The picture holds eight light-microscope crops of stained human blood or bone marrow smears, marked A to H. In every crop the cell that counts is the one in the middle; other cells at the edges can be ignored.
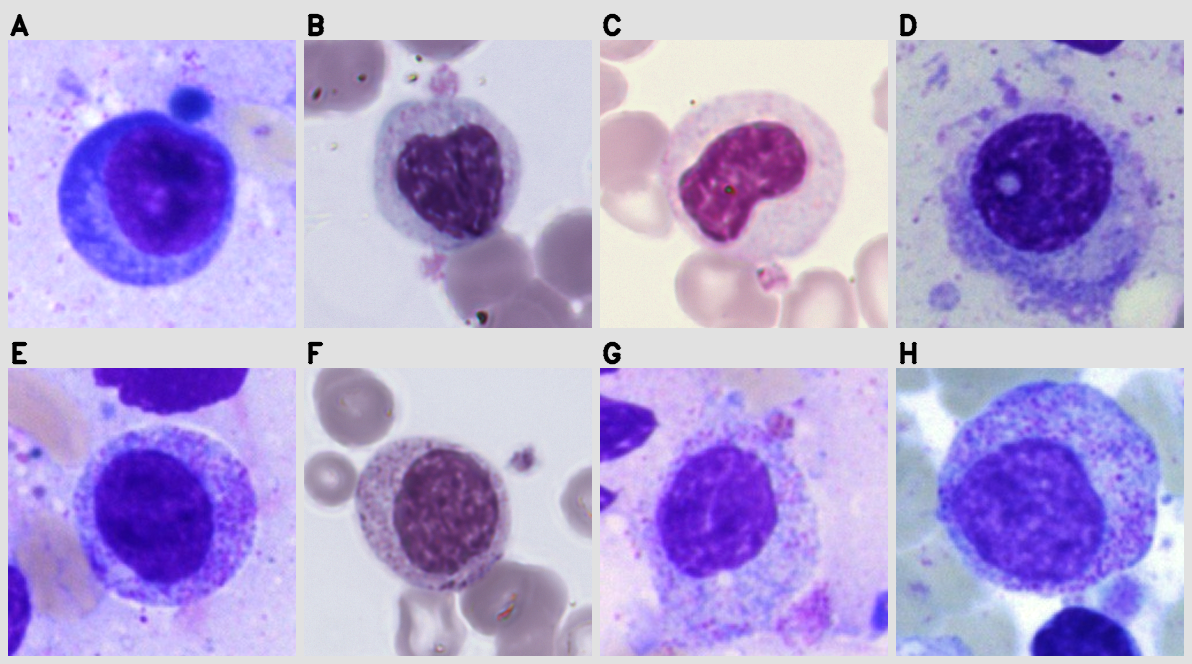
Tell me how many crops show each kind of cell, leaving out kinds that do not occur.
myelocyte: 4
plasma cell: 2
metamyelocyte: 2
